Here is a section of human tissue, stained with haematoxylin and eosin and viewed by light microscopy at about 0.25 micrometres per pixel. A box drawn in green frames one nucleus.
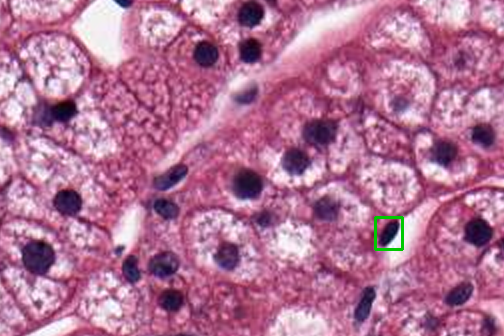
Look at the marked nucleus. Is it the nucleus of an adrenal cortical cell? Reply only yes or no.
no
